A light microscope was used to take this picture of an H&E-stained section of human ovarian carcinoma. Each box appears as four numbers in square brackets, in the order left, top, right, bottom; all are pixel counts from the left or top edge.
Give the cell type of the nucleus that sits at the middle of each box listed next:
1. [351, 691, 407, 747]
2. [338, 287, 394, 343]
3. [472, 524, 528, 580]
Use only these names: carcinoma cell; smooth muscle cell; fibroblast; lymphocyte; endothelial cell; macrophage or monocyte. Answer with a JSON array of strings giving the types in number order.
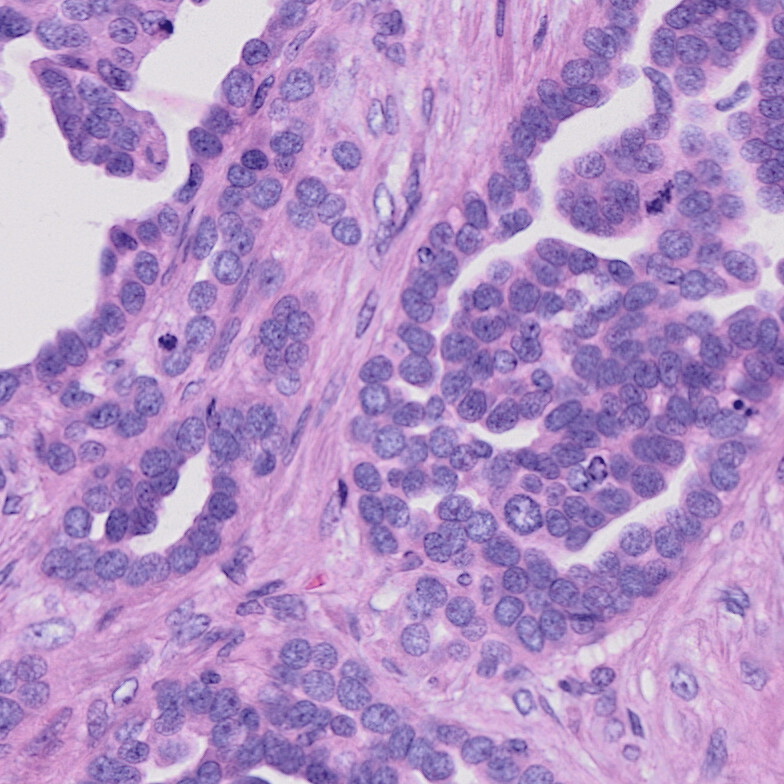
["carcinoma cell", "fibroblast", "carcinoma cell"]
